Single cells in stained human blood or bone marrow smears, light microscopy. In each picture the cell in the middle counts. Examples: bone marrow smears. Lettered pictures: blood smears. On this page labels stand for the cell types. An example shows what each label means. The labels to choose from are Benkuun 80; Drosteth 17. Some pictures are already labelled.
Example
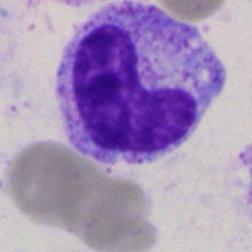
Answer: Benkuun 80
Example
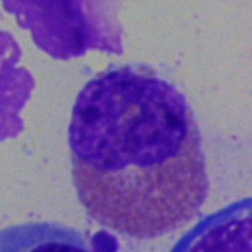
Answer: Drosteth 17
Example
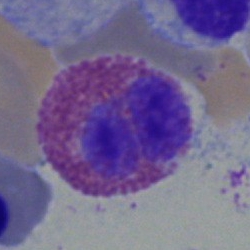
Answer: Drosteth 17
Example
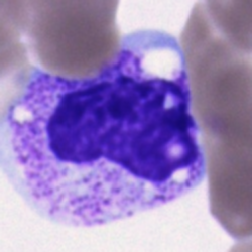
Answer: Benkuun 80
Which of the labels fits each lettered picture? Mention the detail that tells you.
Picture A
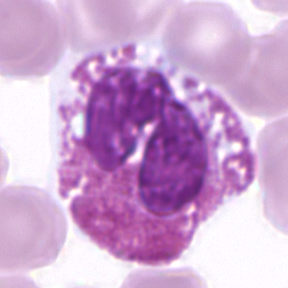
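Label: Drosteth 17. The nucleus is divided into two large lobes.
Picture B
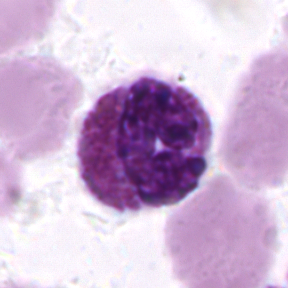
Label: Drosteth 17. The nuclear lobes are arranged in a ring around a small clear gap near the cell's centre.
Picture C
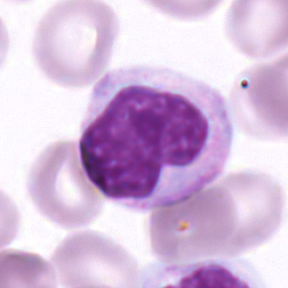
Label: Benkuun 80. Faint, fine pinkish specks are scattered through the cytoplasm.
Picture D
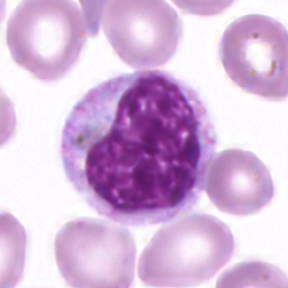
Label: Benkuun 80. Fine pinkish-purple dust-like granules are scattered through the cytoplasm.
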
